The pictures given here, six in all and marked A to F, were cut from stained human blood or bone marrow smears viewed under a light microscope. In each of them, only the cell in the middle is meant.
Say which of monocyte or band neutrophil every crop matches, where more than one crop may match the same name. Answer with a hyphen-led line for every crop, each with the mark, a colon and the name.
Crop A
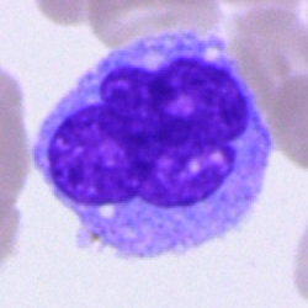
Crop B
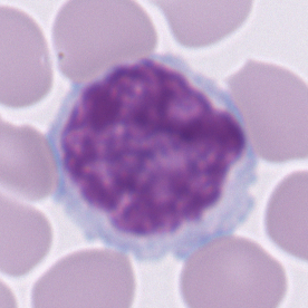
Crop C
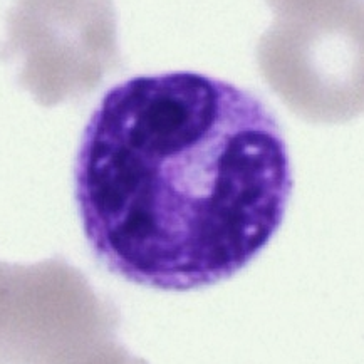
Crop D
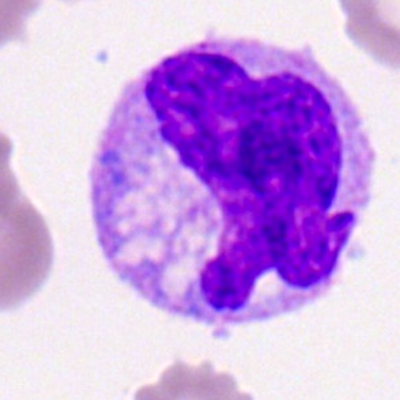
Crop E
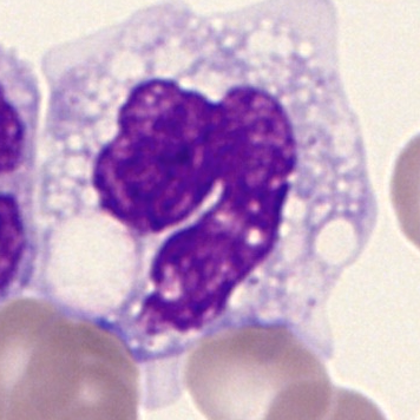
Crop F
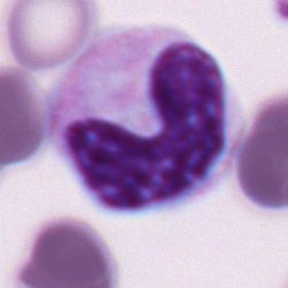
- A: monocyte
- B: monocyte
- C: band neutrophil
- D: monocyte
- E: monocyte
- F: band neutrophil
